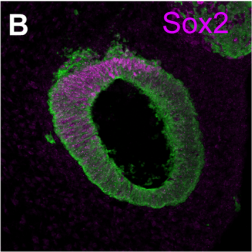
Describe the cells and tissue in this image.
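This is a cross section through the otocyst, a hollow ring of epithelium around a central lumen. Green fills the whole ring, outlining the cells and especially bright along the outer and luminal surfaces. Magenta is concentrated within part of the epithelial wall and overlaps the green there.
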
